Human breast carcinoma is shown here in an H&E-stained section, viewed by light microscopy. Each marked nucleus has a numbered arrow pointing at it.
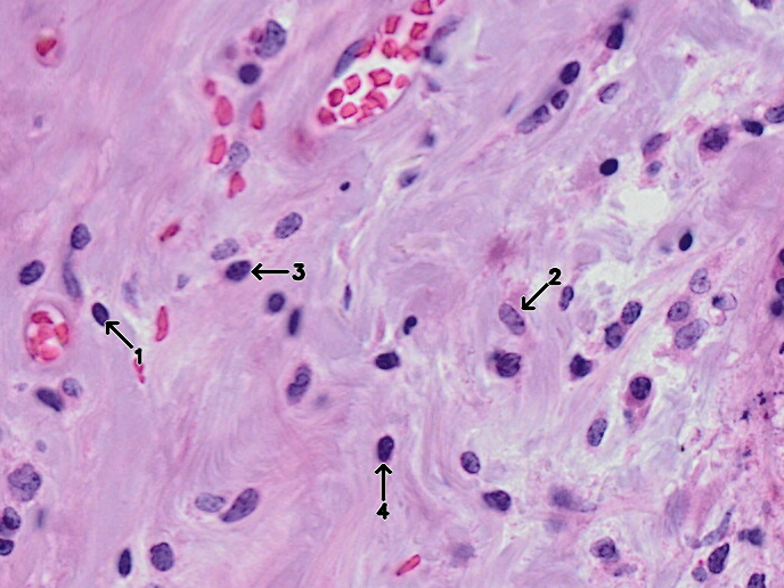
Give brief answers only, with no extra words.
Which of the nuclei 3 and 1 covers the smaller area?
1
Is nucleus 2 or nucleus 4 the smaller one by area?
4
